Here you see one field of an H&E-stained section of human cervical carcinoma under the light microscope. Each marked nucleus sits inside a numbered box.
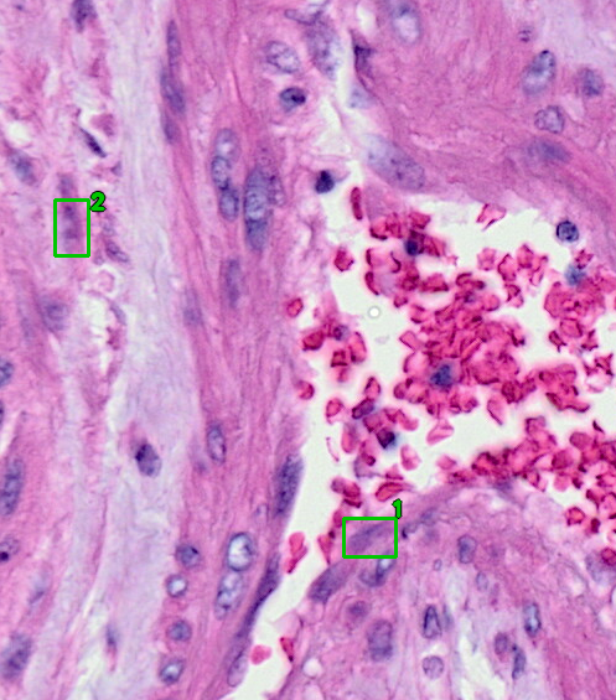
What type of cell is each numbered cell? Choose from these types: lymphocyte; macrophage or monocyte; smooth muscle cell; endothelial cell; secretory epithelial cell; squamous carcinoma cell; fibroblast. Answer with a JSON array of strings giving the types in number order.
["endothelial cell", "fibroblast"]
